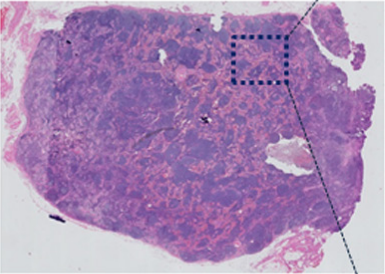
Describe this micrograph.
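This is a low-power section of a whole lymph node in which the dense dark purple areas are packed lymphoid tissue, arranged as rounded nodules. Between these nodules runs a branching network of paler, pinker tissue, the sinuses, giving the section a mottled look. A thin pink capsule surrounds the node, and loose pale fatty tissue clings to its borders. Individual cells cannot be made out at this scale, only the overall architecture.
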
